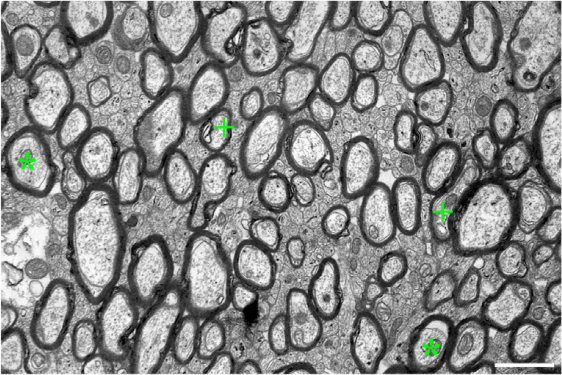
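A cross-section of densely packed myelinated axons, each pale axon wrapped by a dark compact myelin ring. Most axons fill their sheaths, and only a few show a gap inside the sheath or loosened, folded myelin.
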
